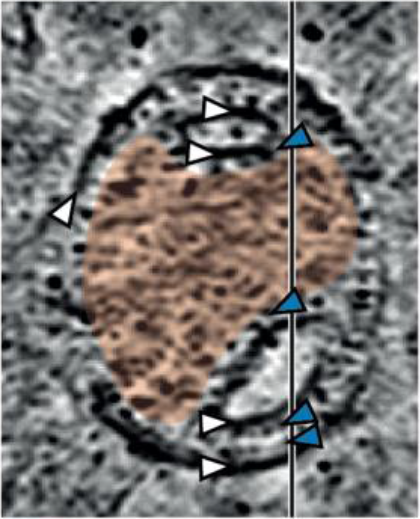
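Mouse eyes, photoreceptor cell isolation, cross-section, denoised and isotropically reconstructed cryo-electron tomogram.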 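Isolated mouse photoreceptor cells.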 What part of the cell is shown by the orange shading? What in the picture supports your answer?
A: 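Rootlet. The orange area is a dense, finely textured bundle filling most of the compartment. It lies inside a roughly round membrane outline. Smaller membrane-bounded compartments sit beside it.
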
